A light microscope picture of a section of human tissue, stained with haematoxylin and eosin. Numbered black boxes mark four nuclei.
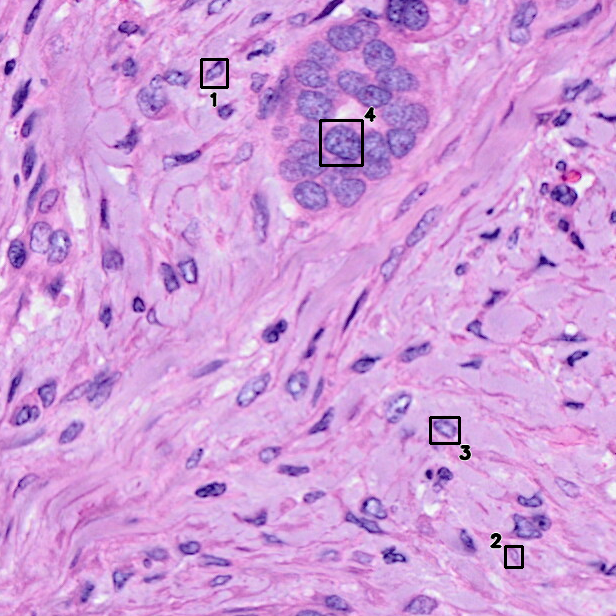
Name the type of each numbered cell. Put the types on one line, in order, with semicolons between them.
fibroblast; fibroblast; fibroblast; carcinoma cell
